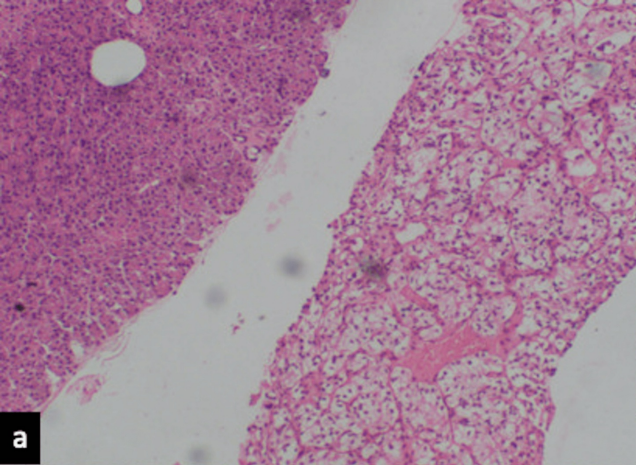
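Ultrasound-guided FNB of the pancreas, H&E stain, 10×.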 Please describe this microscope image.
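Two tissue fragments lie side by side, separated by an empty gap. On the left is densely cellular, darker pink pancreatic tissue. On the right are tumor cells with pale, clear cytoplasm arranged in sheets and nests. Thin pink fibrovascular septa run between the nests. The pale tumor fragment contrasts sharply with the darker pancreatic fragment.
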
